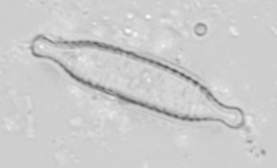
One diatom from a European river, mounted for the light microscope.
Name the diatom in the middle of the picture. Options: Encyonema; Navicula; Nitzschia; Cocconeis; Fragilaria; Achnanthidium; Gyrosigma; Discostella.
Fragilaria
